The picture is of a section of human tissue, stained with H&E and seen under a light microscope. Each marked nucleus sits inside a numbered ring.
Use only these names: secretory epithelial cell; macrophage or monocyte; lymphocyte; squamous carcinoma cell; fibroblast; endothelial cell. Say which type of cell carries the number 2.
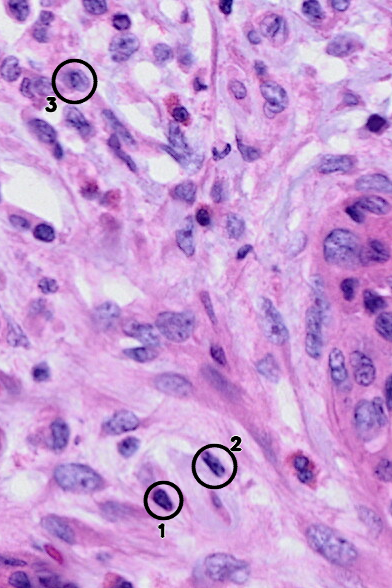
lymphocyte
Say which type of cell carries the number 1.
lymphocyte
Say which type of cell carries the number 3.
macrophage or monocyte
